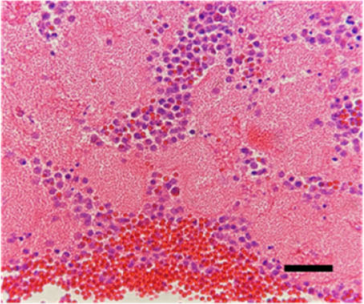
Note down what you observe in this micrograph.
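This is a section of a blood clot with a pale pink, finely fibrillar meshwork and bands of cells running through it. The scattered round cells with dark purple-blue nuclei are white blood cells, gathered in streaks along the meshwork. At the bottom a dense packed mass of bright red, nucleus-free cells forms a red blood cell aggregate. The pink meshwork itself is fibrin, making up the bulk of the field between the cell bands.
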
